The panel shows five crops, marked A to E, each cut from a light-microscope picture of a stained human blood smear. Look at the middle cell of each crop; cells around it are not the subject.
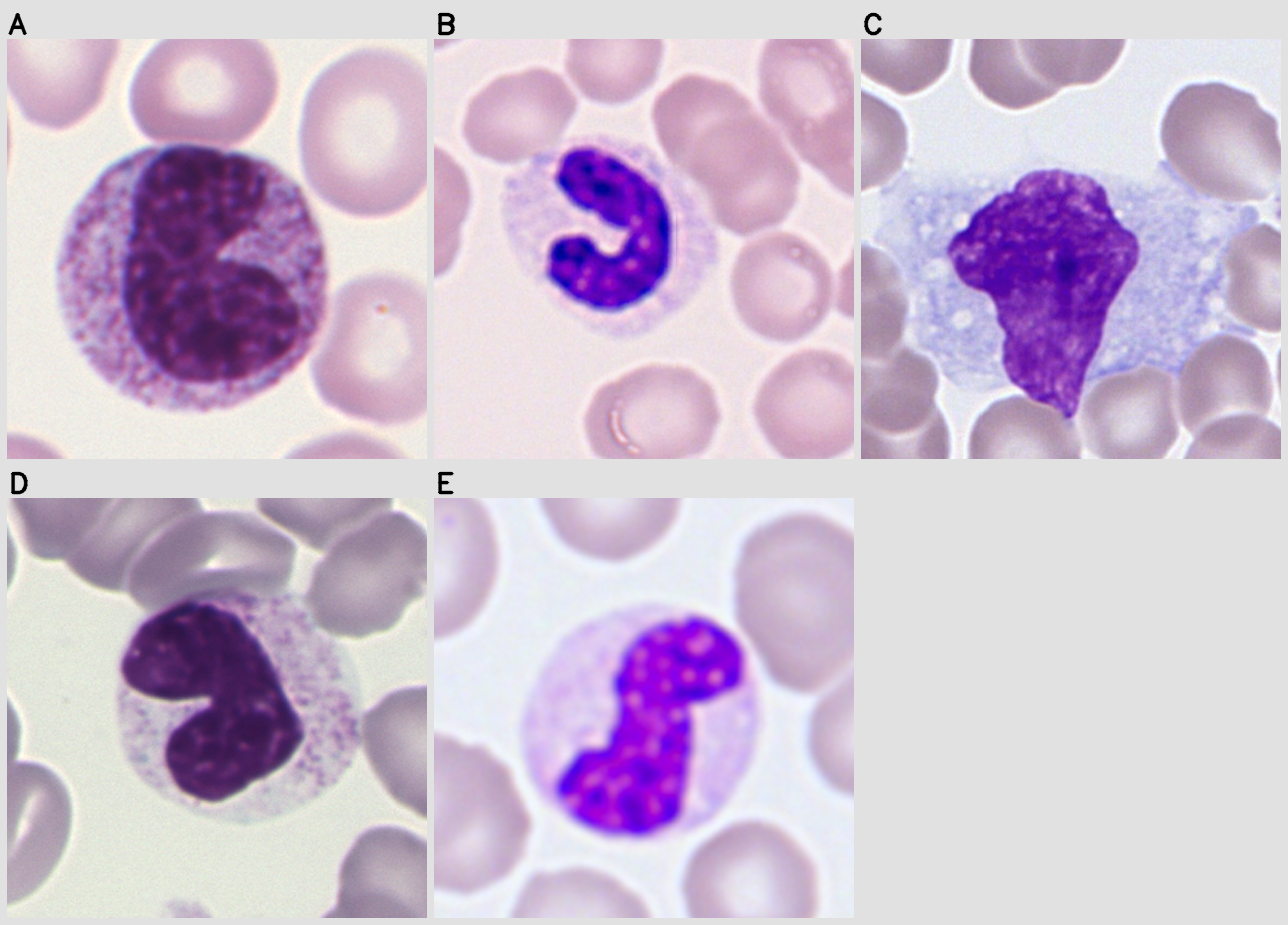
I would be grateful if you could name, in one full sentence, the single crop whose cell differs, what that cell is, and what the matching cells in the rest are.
The set is made up of band neutrophils, with the single exception of crop C, which is a monocyte.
